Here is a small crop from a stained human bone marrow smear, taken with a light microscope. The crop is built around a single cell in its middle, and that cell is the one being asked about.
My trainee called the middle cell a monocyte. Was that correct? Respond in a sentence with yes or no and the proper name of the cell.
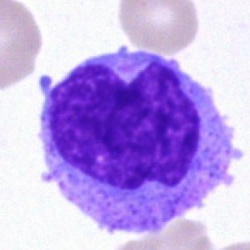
Yes, the cell in the middle is rightly called a monocyte.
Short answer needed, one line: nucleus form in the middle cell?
In this cell the nucleus is a solitary compact mass, round, oval or kidney-shaped.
